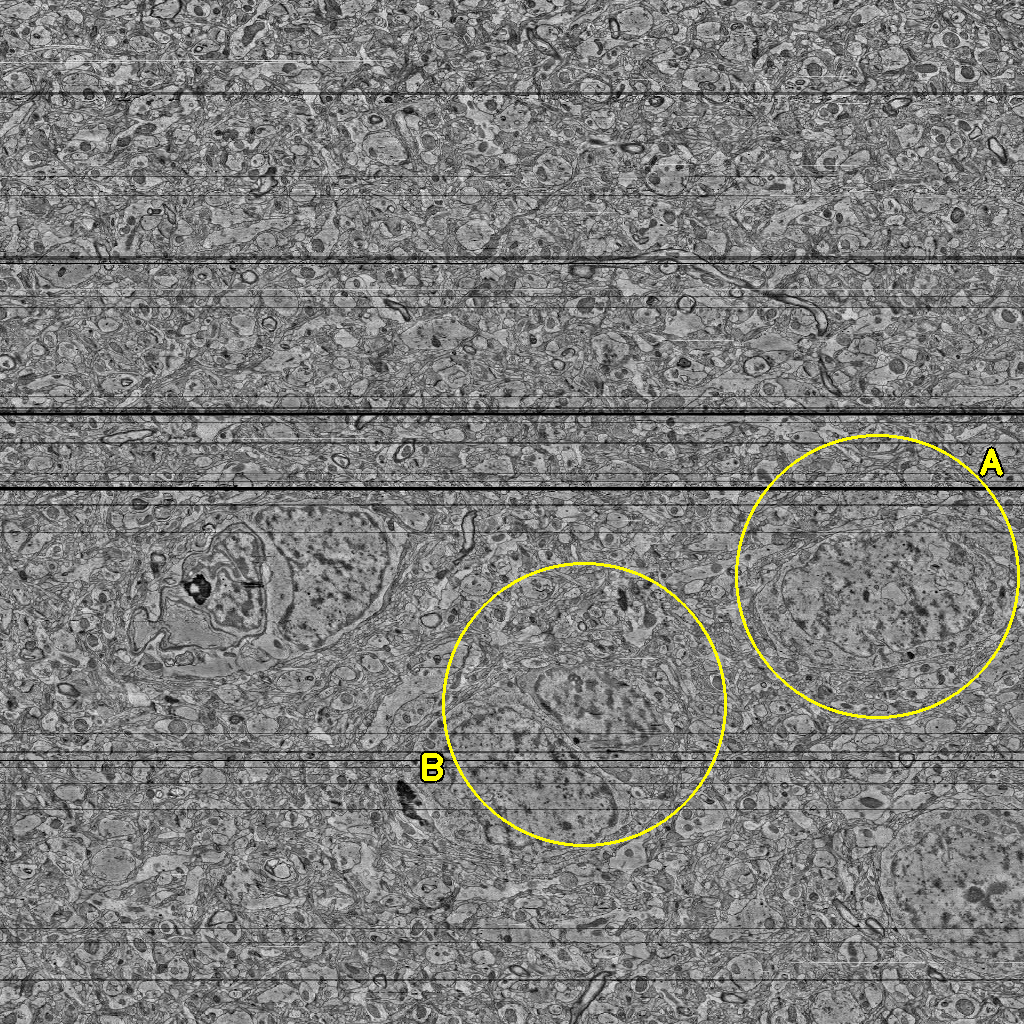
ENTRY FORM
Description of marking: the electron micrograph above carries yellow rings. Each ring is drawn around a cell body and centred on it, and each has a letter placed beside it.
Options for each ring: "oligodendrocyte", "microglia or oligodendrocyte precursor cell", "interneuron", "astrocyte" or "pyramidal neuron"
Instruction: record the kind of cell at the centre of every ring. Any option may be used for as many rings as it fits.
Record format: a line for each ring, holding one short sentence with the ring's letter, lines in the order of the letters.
Ring A surrounds the cell body of an interneuron.
Ring B surrounds the cell body of an oligodendrocyte.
